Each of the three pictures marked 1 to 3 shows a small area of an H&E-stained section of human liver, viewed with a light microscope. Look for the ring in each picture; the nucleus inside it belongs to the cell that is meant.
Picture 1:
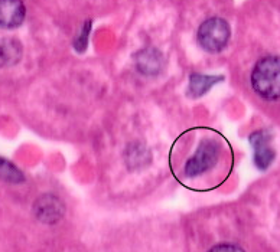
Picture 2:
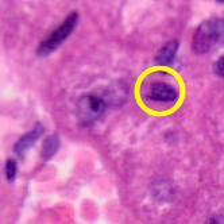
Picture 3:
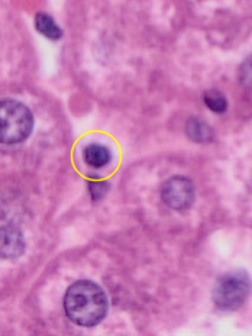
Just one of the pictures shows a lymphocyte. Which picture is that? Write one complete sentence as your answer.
The lymphocyte is the one in picture 3.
